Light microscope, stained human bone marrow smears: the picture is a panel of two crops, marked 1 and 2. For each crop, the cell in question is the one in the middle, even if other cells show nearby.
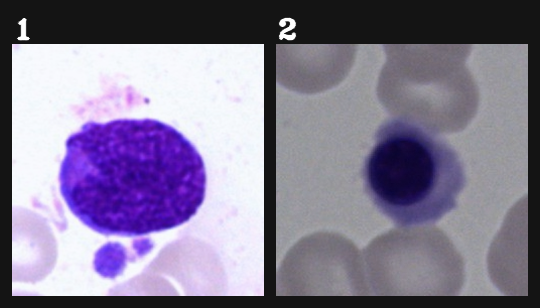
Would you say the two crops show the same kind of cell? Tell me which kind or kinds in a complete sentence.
No, crop 1 gives us a blast and crop 2 gives us an erythroblast.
